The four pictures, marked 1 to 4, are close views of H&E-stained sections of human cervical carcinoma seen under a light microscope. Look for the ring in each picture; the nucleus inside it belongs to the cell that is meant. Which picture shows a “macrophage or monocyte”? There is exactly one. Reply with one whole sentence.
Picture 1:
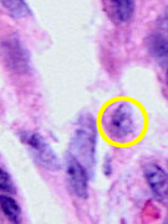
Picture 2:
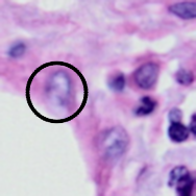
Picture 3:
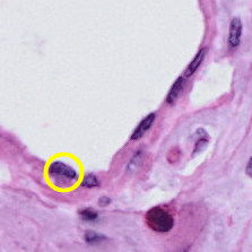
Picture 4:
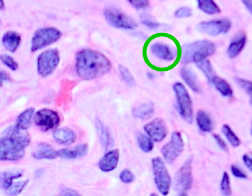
The “macrophage or monocyte” is the one in picture 1.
